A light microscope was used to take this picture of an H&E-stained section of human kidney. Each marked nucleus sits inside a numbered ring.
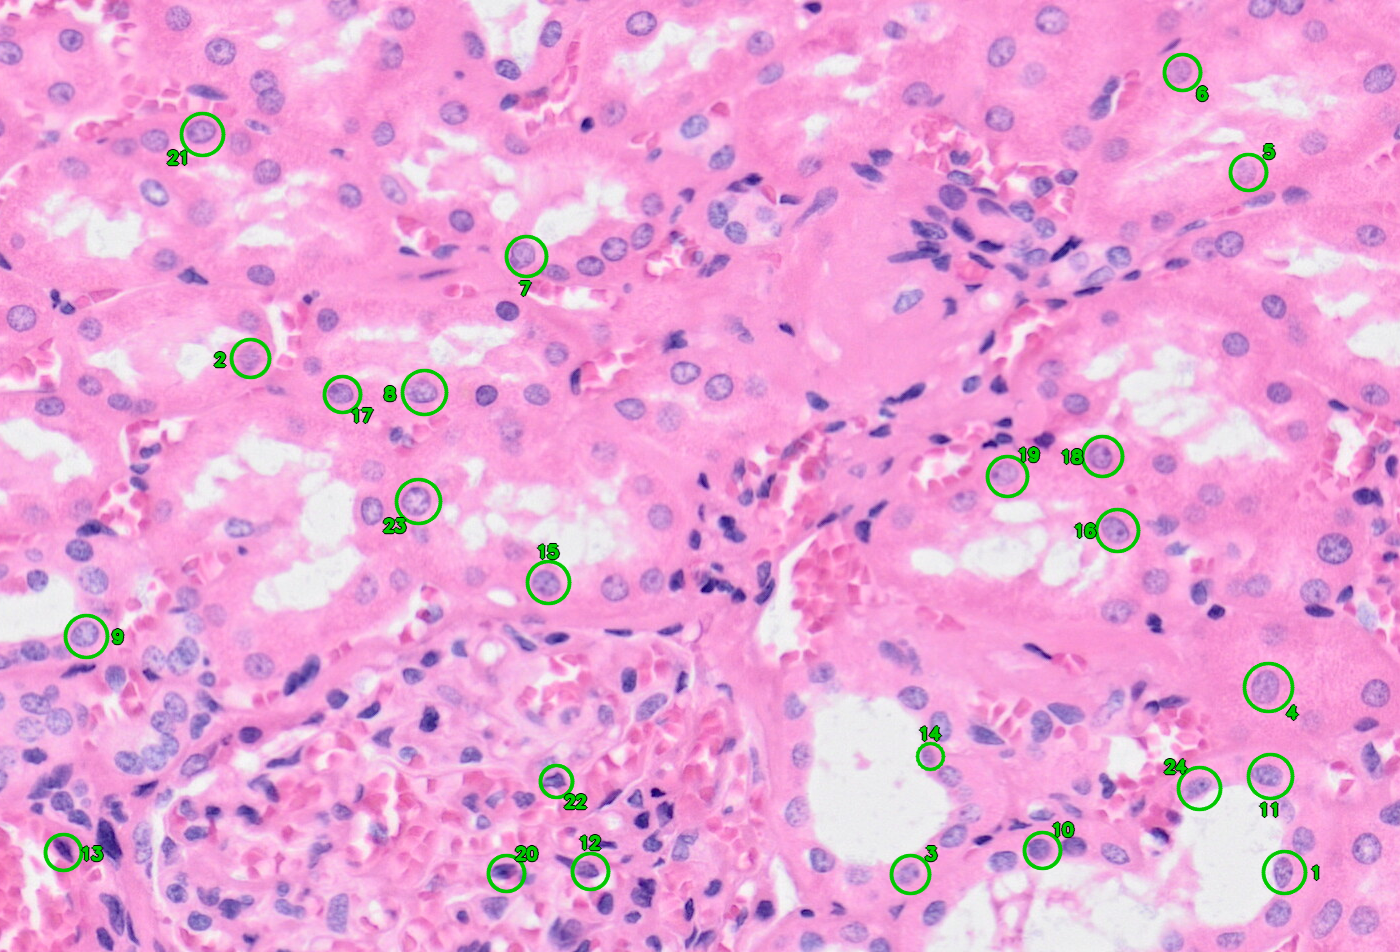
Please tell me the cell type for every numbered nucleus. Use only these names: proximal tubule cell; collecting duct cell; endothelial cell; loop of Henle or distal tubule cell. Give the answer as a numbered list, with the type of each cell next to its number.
1. loop of Henle or distal tubule cell
2. proximal tubule cell
3. loop of Henle or distal tubule cell
4. proximal tubule cell
5. proximal tubule cell
6. proximal tubule cell
7. proximal tubule cell
8. proximal tubule cell
9. collecting duct cell
10. loop of Henle or distal tubule cell
11. loop of Henle or distal tubule cell
12. endothelial cell
13. endothelial cell
14. loop of Henle or distal tubule cell
15. proximal tubule cell
16. proximal tubule cell
17. proximal tubule cell
18. proximal tubule cell
19. proximal tubule cell
20. endothelial cell
21. proximal tubule cell
22. endothelial cell
23. proximal tubule cell
24. loop of Henle or distal tubule cell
